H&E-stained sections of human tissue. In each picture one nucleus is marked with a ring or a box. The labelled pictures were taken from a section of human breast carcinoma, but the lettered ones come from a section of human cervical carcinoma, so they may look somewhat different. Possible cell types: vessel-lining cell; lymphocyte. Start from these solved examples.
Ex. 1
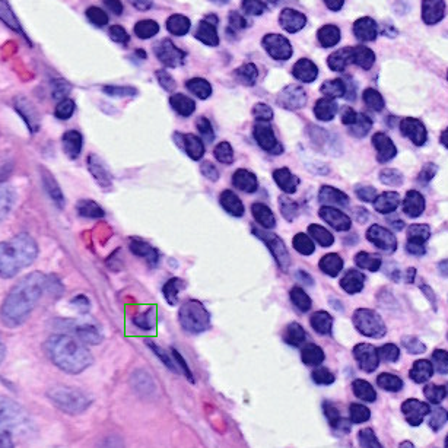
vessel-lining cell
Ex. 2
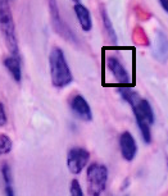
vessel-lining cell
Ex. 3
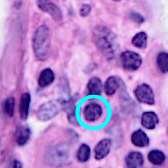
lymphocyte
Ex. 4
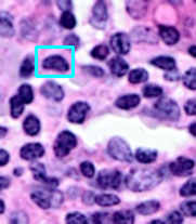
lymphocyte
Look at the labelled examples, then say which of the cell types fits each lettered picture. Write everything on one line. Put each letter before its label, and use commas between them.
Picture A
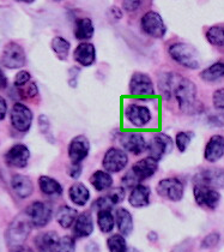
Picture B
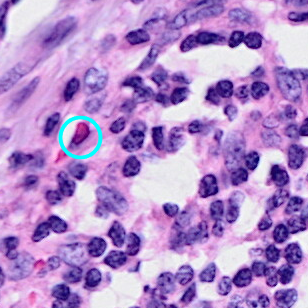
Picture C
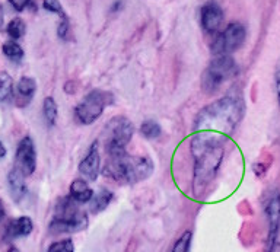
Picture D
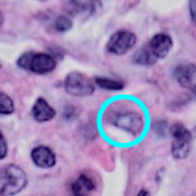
A lymphocyte, B vessel-lining cell, C vessel-lining cell, D vessel-lining cell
